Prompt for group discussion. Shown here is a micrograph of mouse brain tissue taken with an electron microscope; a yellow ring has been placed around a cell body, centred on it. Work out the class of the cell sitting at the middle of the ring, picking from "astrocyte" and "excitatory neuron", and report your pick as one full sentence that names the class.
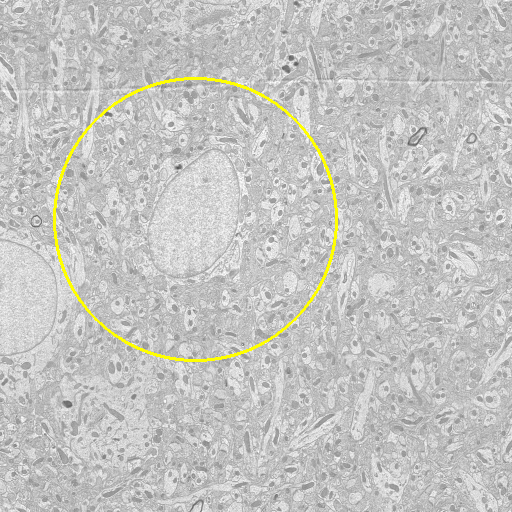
The cell sitting at the middle of the yellow ring is an astrocyte.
